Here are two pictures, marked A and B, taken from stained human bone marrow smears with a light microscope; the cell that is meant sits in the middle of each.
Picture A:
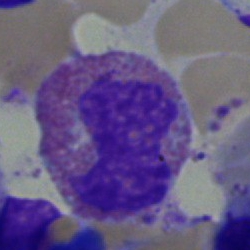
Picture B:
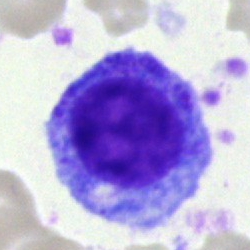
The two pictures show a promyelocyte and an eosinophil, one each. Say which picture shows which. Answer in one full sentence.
Picture A is of an eosinophil, and picture B is of a promyelocyte.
